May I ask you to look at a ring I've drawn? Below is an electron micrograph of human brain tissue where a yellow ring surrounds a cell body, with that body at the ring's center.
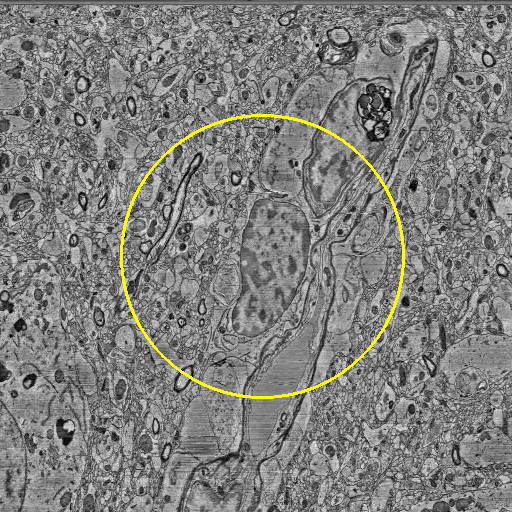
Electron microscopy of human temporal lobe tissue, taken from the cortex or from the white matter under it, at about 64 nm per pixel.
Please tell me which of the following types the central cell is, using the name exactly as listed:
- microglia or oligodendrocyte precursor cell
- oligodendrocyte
microglia or oligodendrocyte precursor cell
